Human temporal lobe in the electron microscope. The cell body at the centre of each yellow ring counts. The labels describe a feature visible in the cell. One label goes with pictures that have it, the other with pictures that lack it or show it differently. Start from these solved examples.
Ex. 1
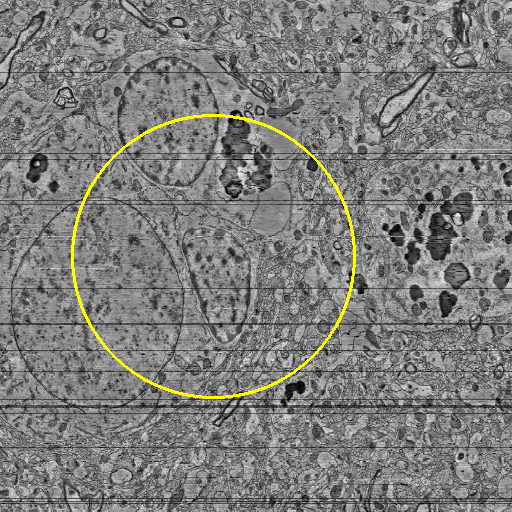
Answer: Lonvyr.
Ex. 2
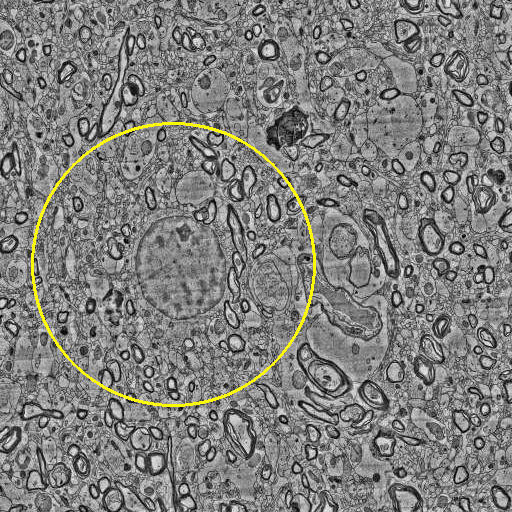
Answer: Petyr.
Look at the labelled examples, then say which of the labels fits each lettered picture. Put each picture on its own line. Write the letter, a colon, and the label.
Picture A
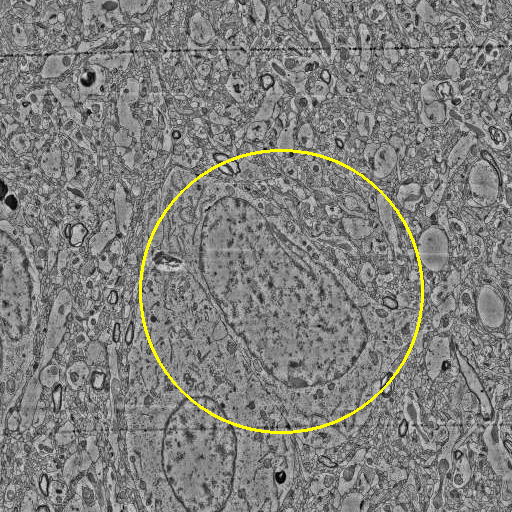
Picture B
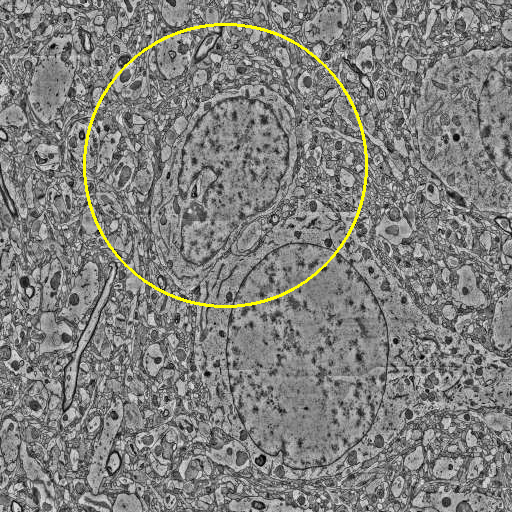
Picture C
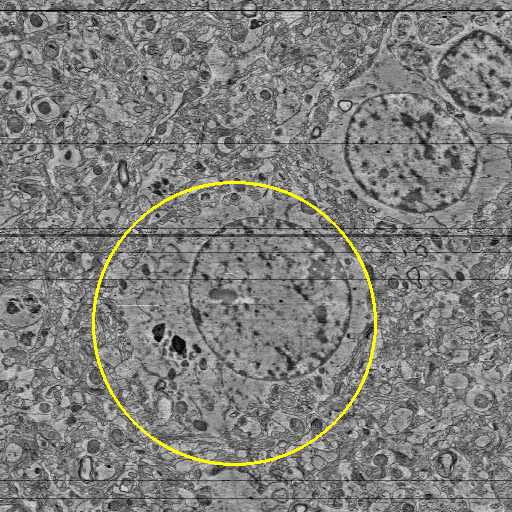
A: Lonvyr.
B: Lonvyr.
C: Petyr.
